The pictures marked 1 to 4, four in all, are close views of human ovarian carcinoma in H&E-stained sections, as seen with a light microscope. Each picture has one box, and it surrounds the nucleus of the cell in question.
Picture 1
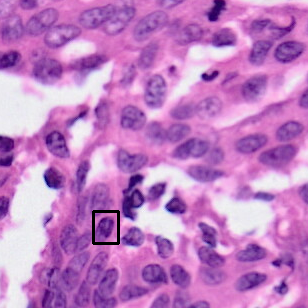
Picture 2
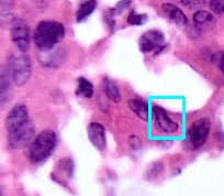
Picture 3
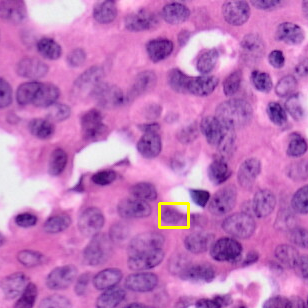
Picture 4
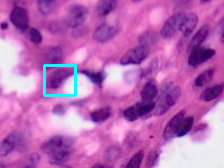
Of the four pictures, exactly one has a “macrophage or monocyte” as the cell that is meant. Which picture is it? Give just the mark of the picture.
2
